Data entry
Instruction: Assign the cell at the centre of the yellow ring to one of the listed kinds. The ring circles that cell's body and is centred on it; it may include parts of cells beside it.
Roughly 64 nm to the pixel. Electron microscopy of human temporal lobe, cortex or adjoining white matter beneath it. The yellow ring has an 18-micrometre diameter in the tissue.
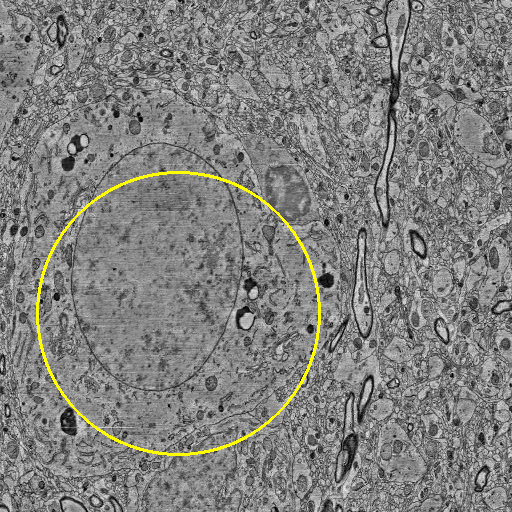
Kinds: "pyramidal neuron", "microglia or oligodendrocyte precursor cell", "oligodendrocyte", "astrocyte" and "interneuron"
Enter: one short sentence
The centre of the ring falls on a pyramidal neuron.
